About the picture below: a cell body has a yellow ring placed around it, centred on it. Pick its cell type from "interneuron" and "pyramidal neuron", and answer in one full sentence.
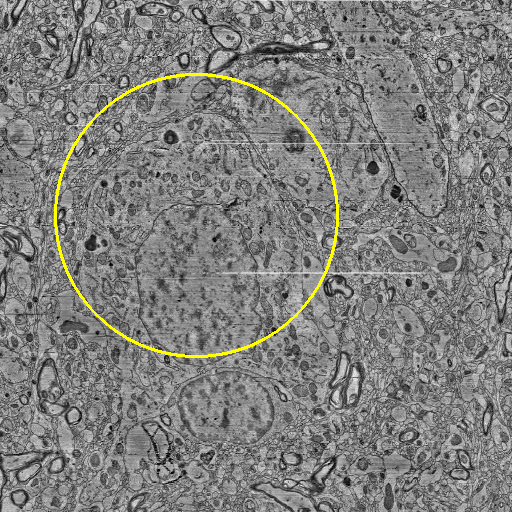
In the picture, an interneuron is the cell sitting at the centre of the yellow ring.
